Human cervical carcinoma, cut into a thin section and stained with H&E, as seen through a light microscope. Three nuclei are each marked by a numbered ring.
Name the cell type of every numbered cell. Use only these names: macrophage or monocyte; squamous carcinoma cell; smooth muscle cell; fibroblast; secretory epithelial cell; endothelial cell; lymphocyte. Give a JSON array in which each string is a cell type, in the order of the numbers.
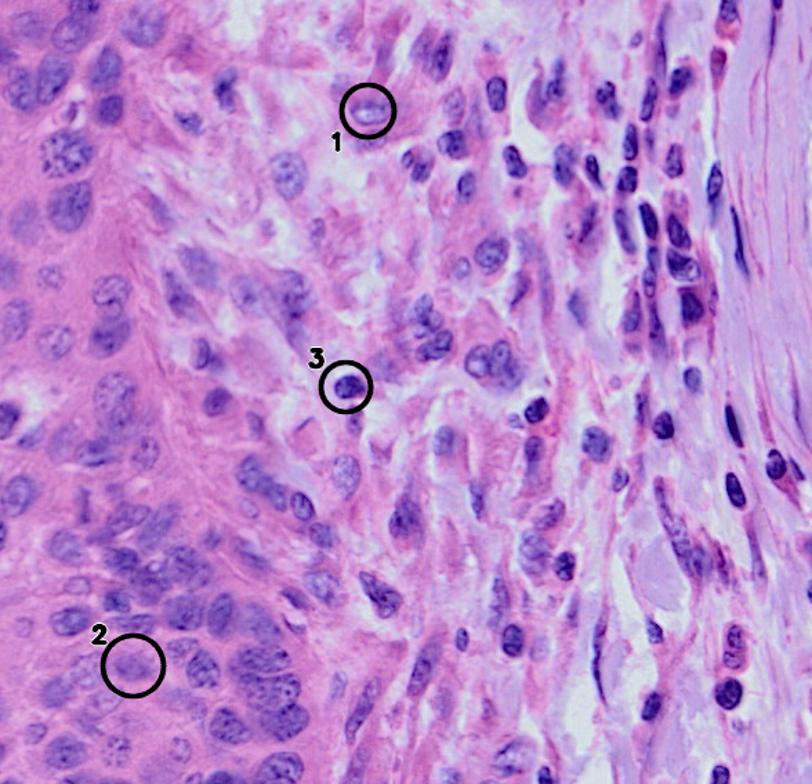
["endothelial cell", "squamous carcinoma cell", "lymphocyte"]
